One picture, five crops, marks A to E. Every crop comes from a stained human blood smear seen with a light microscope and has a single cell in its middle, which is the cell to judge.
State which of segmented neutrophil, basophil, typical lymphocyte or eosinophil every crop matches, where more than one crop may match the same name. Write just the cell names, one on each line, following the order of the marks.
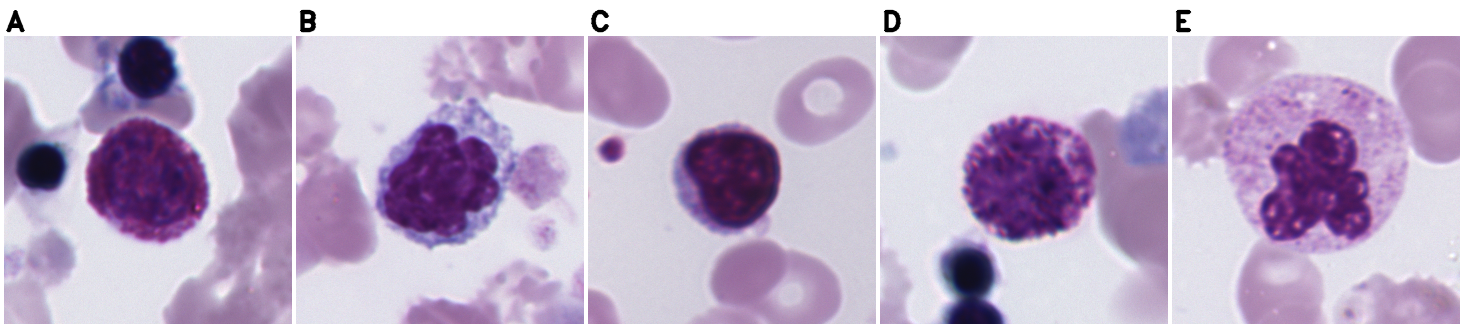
eosinophil
typical lymphocyte
typical lymphocyte
basophil
segmented neutrophil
